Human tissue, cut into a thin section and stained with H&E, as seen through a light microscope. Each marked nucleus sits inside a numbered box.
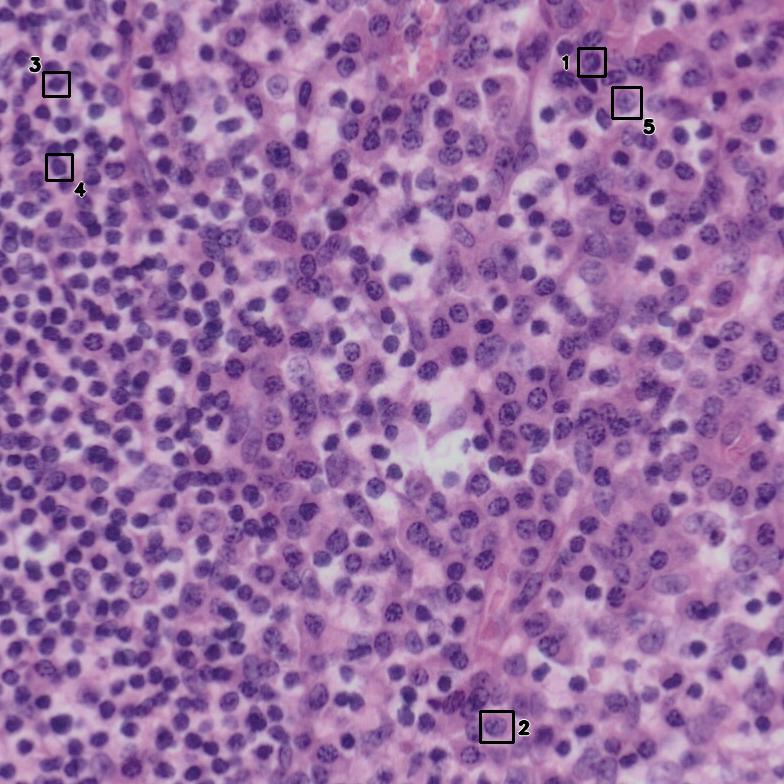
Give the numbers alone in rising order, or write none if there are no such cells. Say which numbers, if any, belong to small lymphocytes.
3, 4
